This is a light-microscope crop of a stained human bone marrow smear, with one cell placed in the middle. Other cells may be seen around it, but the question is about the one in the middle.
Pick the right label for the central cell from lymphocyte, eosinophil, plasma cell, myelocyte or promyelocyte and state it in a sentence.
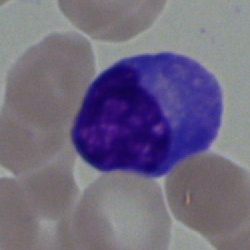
The middle cell in this particular crop is a plasma cell.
